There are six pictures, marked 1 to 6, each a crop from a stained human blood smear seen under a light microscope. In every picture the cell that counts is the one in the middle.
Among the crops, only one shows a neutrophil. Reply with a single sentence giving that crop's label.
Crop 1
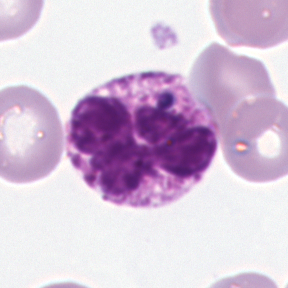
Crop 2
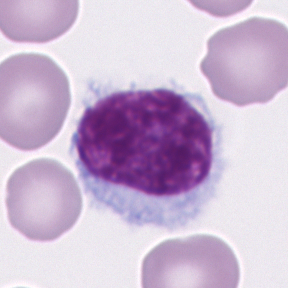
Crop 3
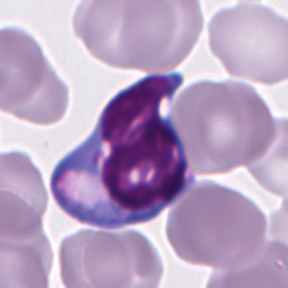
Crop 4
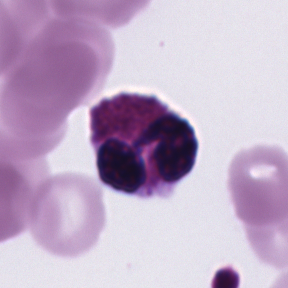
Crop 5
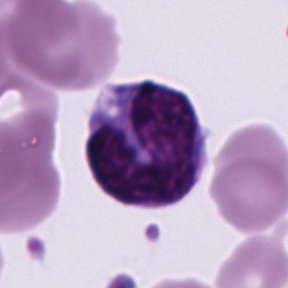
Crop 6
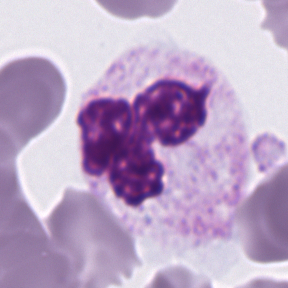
The requested cell, a neutrophil, is the one in crop 6.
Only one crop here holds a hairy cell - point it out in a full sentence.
Of these crops, it is crop 2 that shows a hairy cell.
